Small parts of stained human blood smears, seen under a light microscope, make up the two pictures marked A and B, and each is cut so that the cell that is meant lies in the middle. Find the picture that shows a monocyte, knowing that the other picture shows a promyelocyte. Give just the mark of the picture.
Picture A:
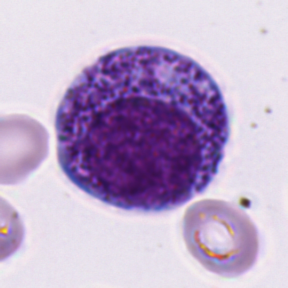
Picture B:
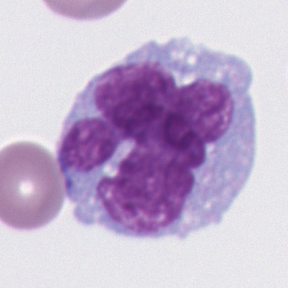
B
